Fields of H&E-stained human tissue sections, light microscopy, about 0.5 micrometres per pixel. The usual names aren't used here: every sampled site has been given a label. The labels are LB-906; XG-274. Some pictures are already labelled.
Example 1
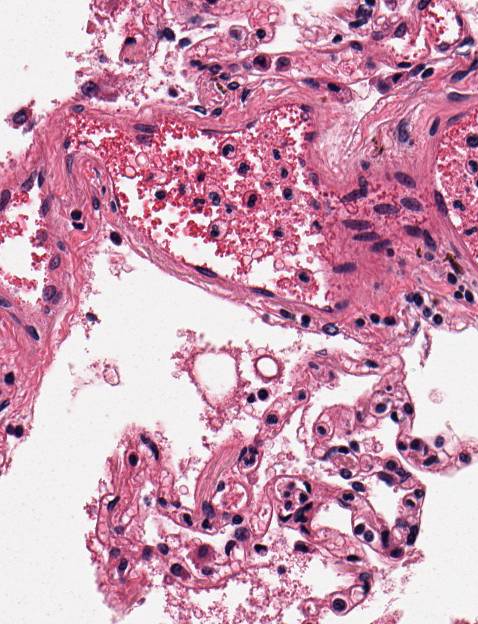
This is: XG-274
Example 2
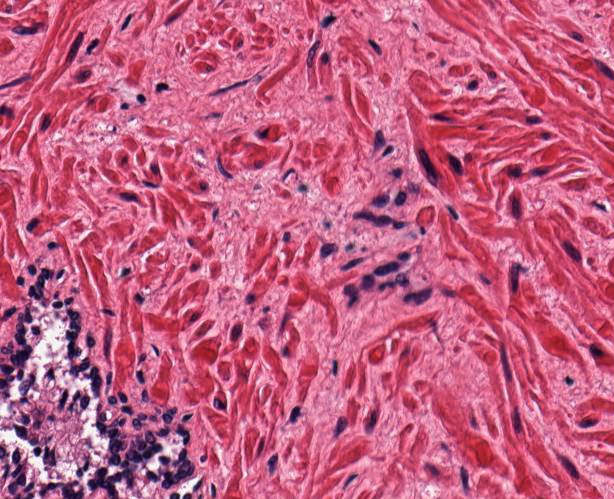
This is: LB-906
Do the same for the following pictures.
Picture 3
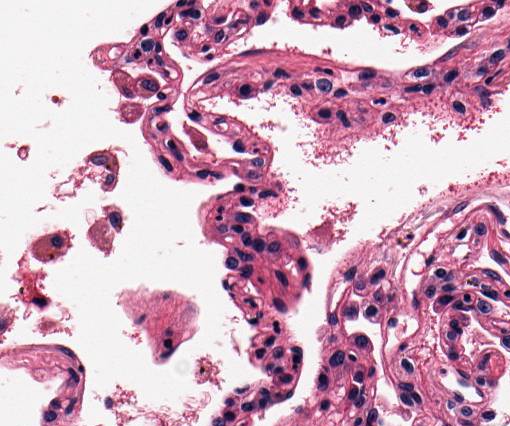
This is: XG-274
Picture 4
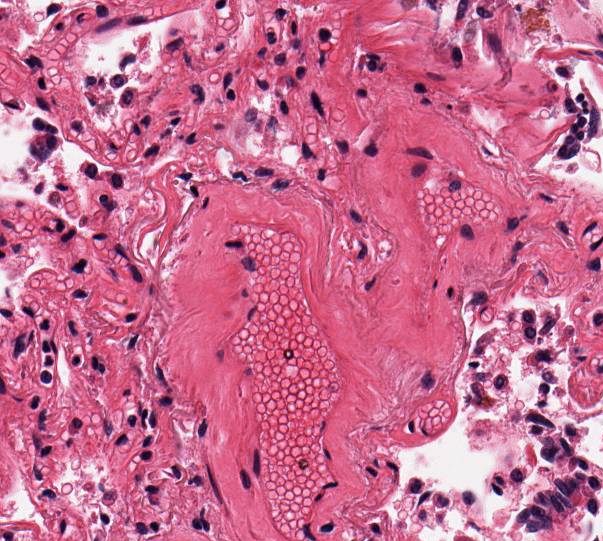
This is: XG-274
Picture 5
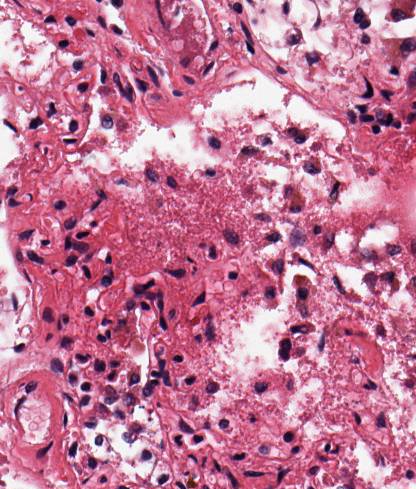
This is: XG-274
